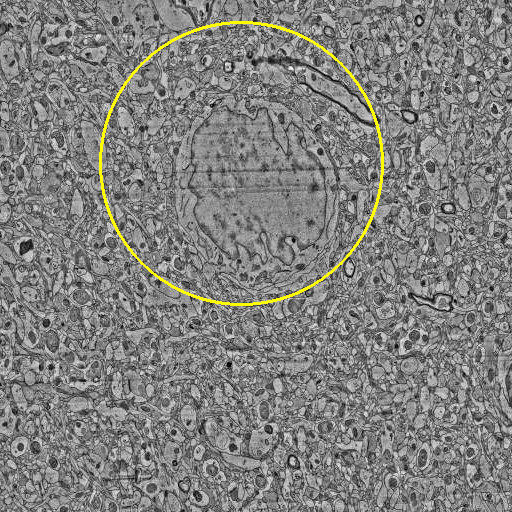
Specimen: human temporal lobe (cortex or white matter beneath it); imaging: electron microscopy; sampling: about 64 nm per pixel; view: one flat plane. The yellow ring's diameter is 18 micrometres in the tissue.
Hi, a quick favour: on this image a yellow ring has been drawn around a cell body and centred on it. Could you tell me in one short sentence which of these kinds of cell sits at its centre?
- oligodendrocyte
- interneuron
The ring is centred on an interneuron.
